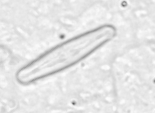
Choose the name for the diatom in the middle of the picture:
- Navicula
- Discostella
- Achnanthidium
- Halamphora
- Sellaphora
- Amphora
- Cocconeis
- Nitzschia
Achnanthidium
